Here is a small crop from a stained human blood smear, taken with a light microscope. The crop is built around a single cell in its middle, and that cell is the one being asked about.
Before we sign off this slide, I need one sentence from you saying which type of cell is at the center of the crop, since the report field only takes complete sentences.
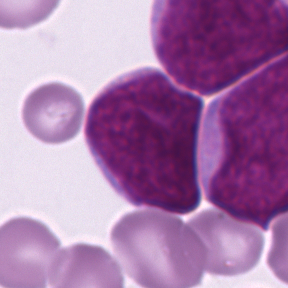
The cell at the centre of the field is a blast.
